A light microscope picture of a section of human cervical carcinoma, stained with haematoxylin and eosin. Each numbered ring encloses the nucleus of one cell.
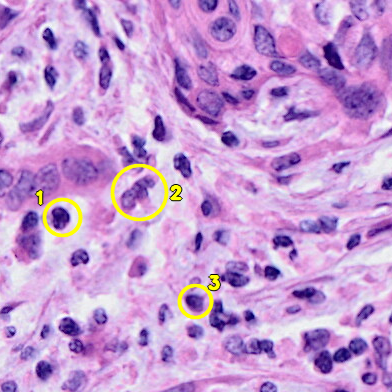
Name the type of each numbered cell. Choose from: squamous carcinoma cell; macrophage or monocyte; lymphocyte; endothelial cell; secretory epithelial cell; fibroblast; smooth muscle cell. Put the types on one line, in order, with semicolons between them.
lymphocyte; macrophage or monocyte; lymphocyte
